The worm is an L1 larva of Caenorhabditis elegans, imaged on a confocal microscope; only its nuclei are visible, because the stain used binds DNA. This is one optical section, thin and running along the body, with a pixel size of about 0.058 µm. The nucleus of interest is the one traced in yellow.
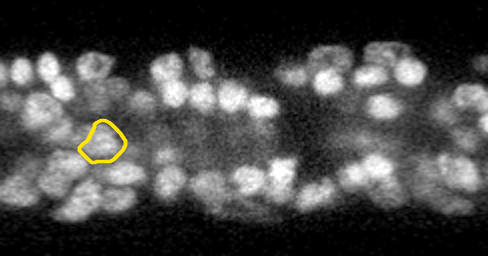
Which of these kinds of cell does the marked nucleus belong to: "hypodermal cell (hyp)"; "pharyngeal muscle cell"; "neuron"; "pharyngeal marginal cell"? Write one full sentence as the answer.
The cell with the marked nucleus is a pharyngeal marginal cell.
